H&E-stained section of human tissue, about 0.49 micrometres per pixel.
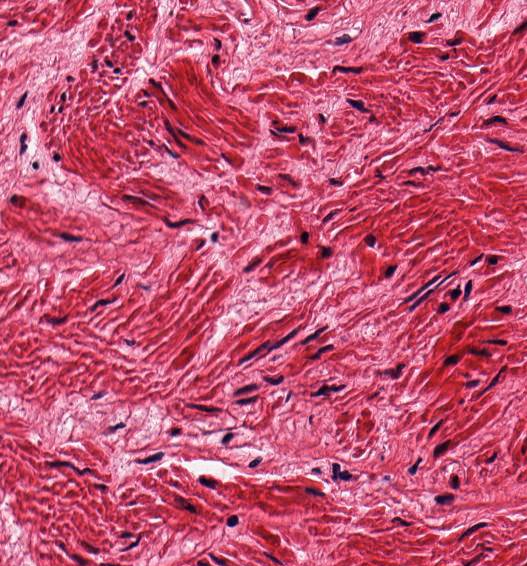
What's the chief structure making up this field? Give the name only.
fibromuscular stroma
